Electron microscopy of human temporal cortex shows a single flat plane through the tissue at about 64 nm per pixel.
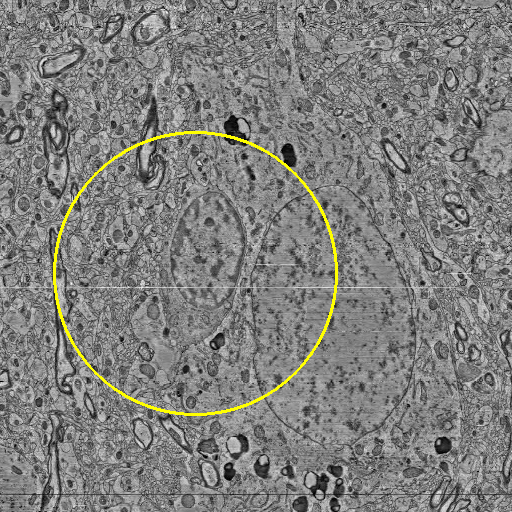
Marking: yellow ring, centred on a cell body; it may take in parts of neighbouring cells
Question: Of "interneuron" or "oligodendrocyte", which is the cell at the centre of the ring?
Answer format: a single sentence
The ring surrounds the body of an oligodendrocyte.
